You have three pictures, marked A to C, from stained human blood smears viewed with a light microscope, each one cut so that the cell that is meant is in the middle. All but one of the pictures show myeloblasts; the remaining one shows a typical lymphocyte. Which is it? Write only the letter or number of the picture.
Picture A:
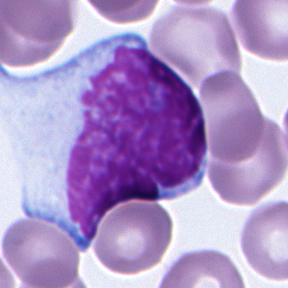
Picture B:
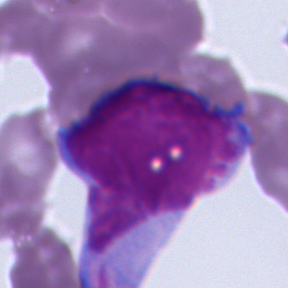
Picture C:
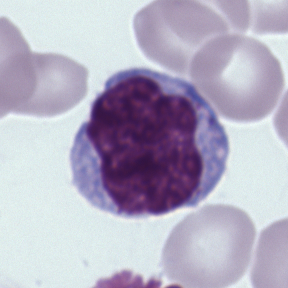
C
